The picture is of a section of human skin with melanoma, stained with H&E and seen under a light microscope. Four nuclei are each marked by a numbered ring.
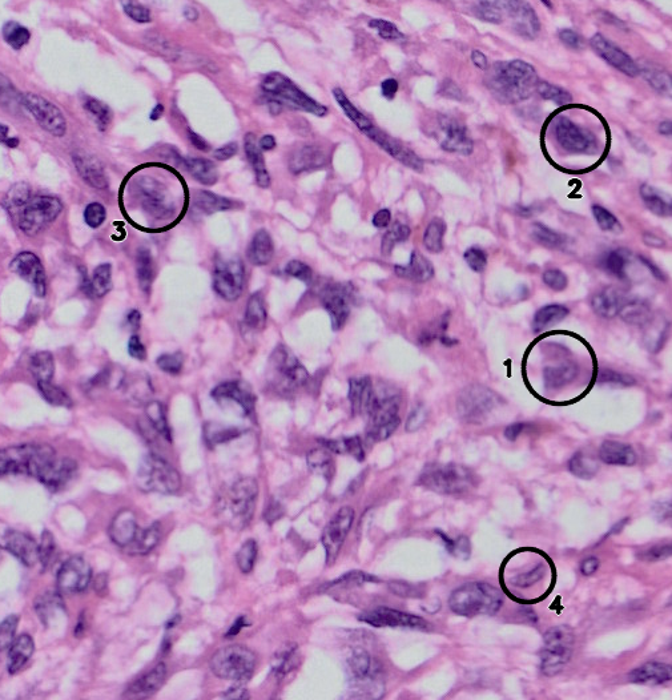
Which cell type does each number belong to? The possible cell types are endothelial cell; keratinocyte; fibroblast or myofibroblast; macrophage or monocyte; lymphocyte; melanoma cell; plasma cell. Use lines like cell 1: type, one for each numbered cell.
cell 1: melanoma cell
cell 2: melanoma cell
cell 3: melanoma cell
cell 4: macrophage or monocyte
